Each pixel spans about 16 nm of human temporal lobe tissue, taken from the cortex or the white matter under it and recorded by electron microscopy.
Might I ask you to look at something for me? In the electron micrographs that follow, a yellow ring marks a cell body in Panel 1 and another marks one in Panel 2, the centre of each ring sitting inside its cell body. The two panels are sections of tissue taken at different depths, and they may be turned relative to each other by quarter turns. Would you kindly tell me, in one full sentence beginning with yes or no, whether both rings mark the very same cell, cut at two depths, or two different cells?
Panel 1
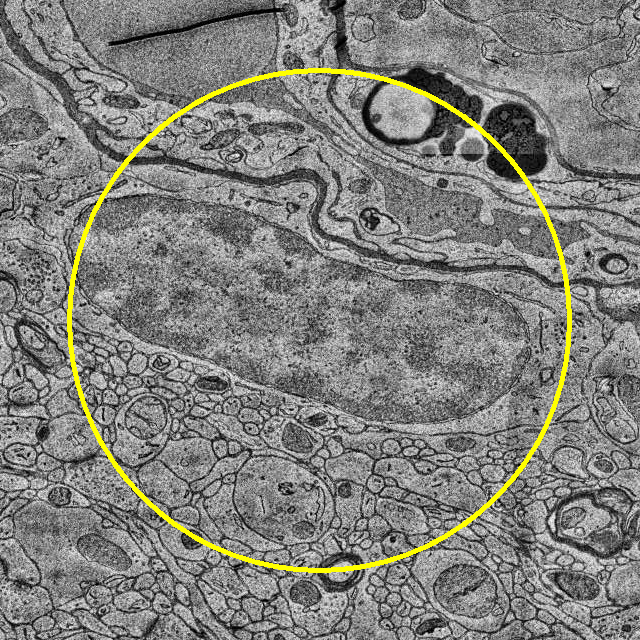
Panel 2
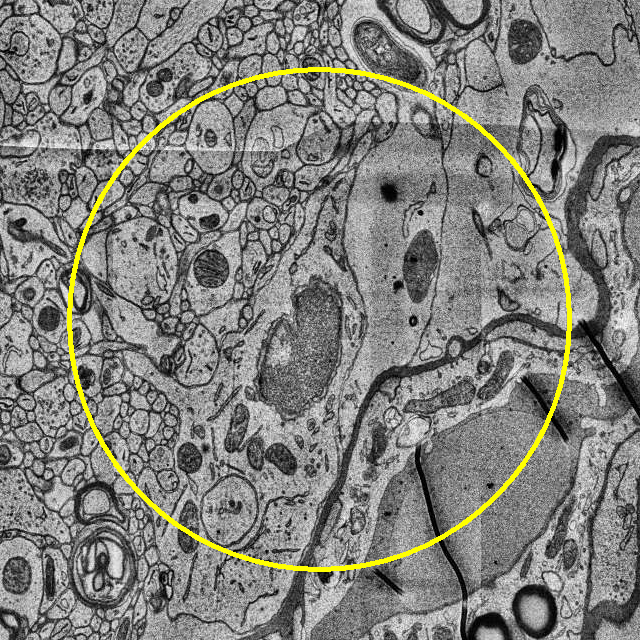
Yes, the second ring marks the same cell as the first.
